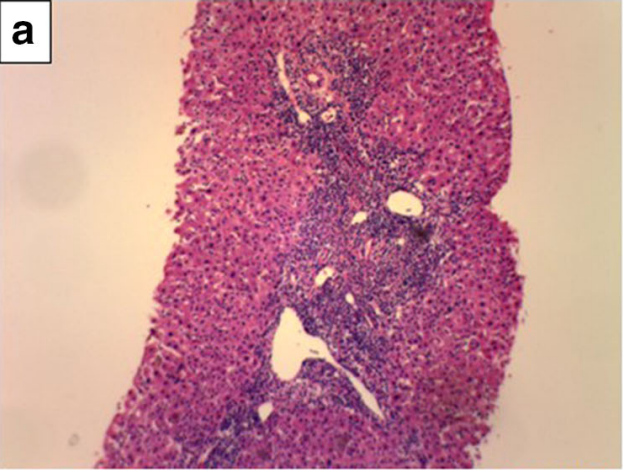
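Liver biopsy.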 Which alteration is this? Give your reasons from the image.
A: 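Expanded portal areas are densely dark-blue with inflammatory cells. The inflammation extends irregularly into the surrounding pink parenchyma. That points to this answer: marked interface hepatitis.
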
